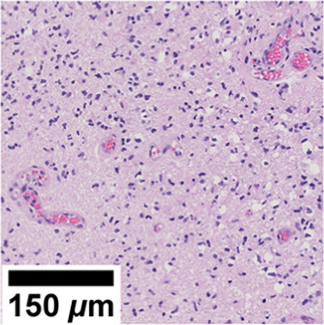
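This is a section of a brain tumor in which tumor cells are spread fairly evenly through a pale pink, fibrillary background. The nuclei stain purple and are mostly round to oval. Small thin-walled vessels containing red-pink blood cells are seen, one at the lower left and one at the upper right. The cell density is moderate and the cells show no particular layering or orientation.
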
